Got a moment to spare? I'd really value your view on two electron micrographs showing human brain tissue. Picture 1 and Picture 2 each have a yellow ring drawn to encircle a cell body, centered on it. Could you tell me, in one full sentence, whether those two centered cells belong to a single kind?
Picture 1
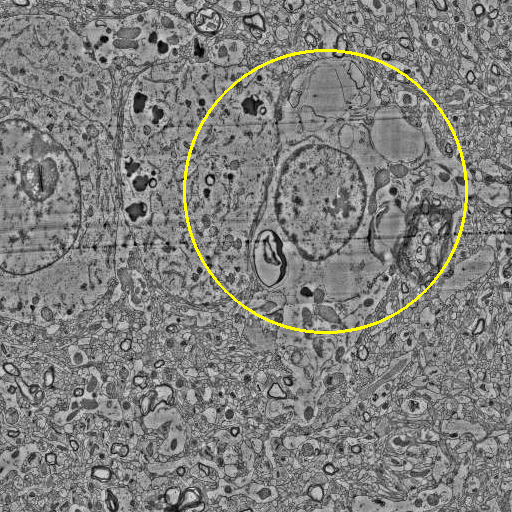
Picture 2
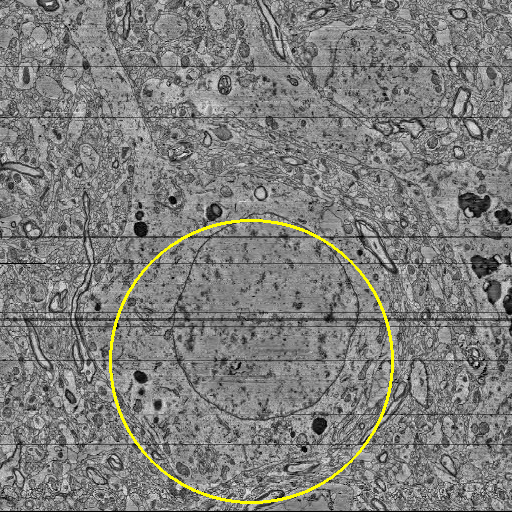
No, the two centered cells in Picture 1 and Picture 2 are of two kinds.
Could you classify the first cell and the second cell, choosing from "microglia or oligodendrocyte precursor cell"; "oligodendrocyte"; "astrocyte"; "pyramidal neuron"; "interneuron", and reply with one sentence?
The second cell is a pyramidal neuron, while the first is an astrocyte.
